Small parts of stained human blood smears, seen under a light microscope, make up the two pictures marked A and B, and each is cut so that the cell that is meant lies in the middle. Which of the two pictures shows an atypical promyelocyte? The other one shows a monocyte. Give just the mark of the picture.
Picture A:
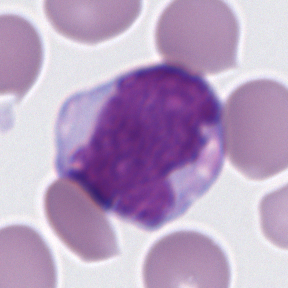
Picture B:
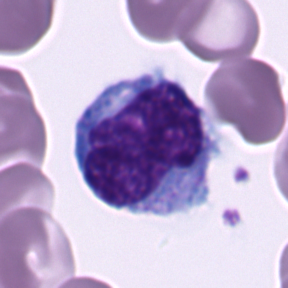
A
